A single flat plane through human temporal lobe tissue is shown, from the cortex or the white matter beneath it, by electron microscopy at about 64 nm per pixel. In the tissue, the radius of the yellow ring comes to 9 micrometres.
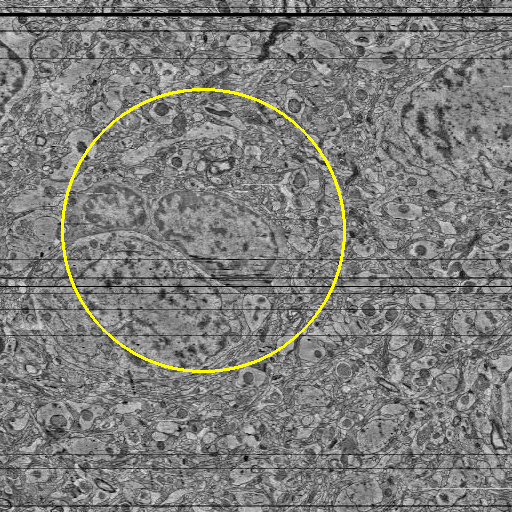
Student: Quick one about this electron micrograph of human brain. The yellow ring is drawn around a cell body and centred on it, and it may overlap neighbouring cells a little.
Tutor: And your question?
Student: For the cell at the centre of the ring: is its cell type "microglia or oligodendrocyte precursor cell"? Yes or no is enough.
no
